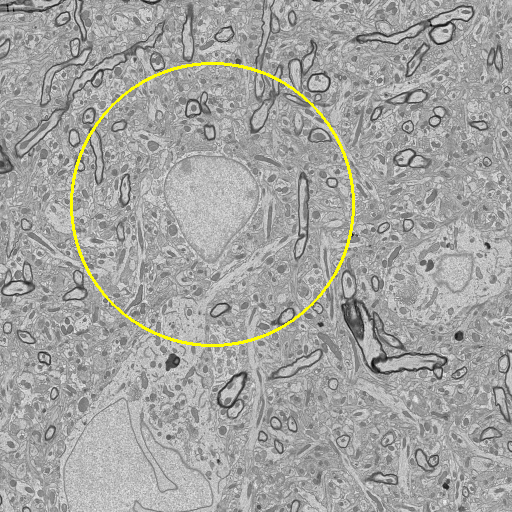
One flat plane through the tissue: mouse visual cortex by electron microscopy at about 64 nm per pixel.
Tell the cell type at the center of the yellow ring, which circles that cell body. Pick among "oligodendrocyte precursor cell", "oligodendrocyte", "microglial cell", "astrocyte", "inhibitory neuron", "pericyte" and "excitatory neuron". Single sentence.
The ring is centered on the body of an astrocyte.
